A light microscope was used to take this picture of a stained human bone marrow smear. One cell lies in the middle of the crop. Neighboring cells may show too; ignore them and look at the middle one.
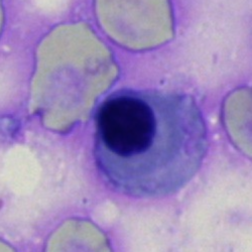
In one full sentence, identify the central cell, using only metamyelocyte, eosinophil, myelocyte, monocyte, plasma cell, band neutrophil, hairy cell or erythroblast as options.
At the middle of the frame sits an erythroblast.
